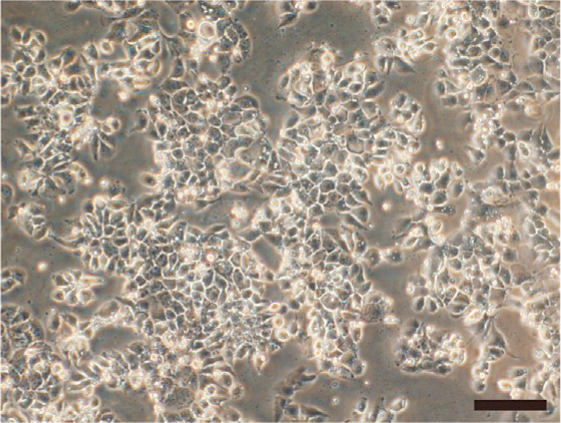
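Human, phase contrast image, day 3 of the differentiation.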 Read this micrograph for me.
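The cells are polygonal and tightly packed side by side in a cobblestone pattern. The sheets form irregular islands separated by empty gaps of dish. Toward the island edges some cells look rounder and more refractile. Unlike dome-shaped colonies, the cells lie flat, and individual cells are easy to tell apart.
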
